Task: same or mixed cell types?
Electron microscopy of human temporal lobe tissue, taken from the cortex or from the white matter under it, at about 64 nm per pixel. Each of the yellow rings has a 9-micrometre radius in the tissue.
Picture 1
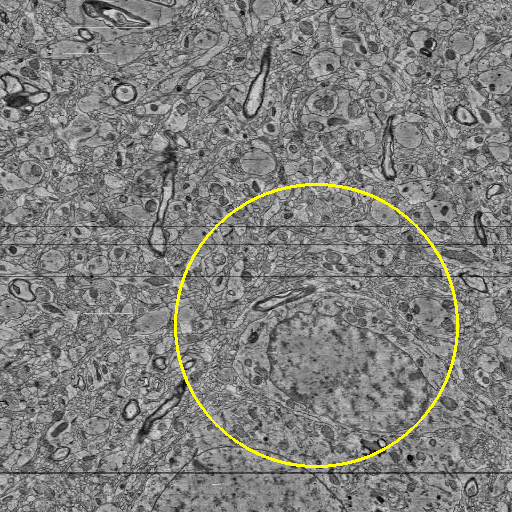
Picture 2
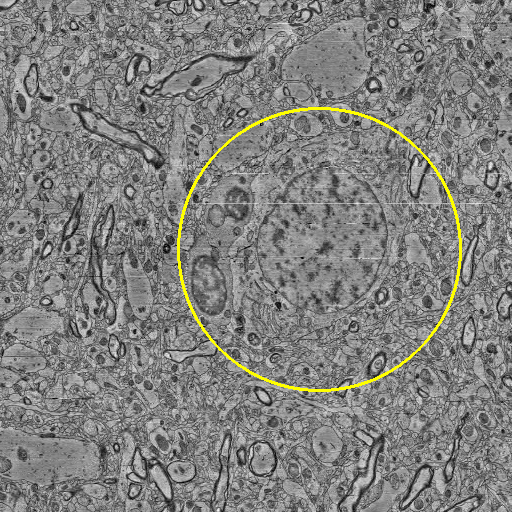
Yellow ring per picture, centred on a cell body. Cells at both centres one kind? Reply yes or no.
yes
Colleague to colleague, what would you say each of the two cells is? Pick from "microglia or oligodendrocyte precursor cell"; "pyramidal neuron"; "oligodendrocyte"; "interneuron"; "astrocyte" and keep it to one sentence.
The second cell is an interneuron, just as the first is.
